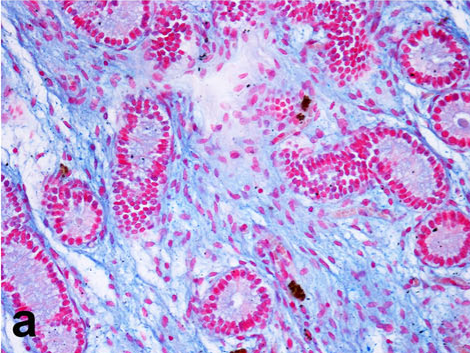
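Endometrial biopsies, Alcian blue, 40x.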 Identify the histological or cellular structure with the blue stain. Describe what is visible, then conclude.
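Pale to bright blue material fills the stroma between the glands. Glands are ringed by red-stained nuclei set in the blue background. On this evidence: mucopolysaccharide extracellular matrix.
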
